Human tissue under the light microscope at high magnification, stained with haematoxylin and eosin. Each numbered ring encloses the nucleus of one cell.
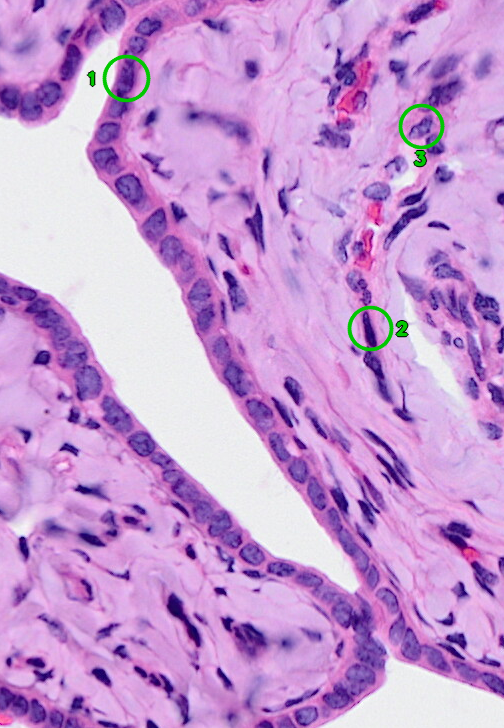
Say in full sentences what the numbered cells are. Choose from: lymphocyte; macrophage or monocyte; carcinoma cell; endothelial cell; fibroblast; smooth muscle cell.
Cell 1 is a carcinoma cell. Cells 2 and 3 are endothelial cells.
